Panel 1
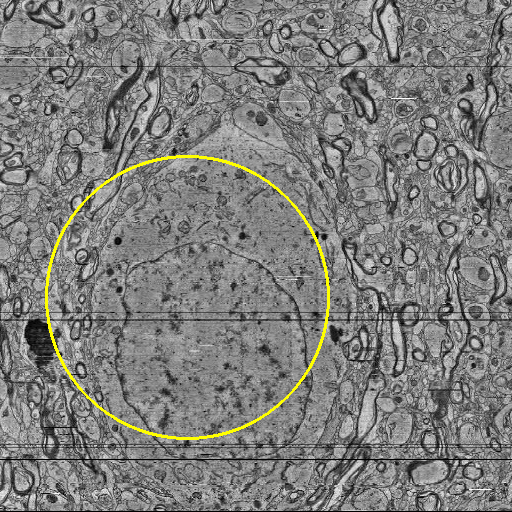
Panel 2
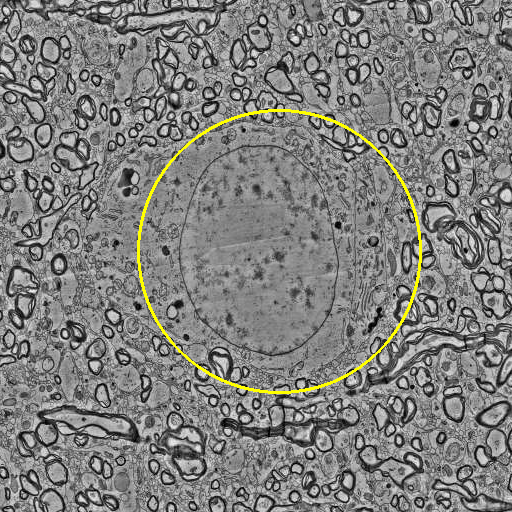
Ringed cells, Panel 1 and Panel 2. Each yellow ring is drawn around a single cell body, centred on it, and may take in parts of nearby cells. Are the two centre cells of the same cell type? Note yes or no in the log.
yes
